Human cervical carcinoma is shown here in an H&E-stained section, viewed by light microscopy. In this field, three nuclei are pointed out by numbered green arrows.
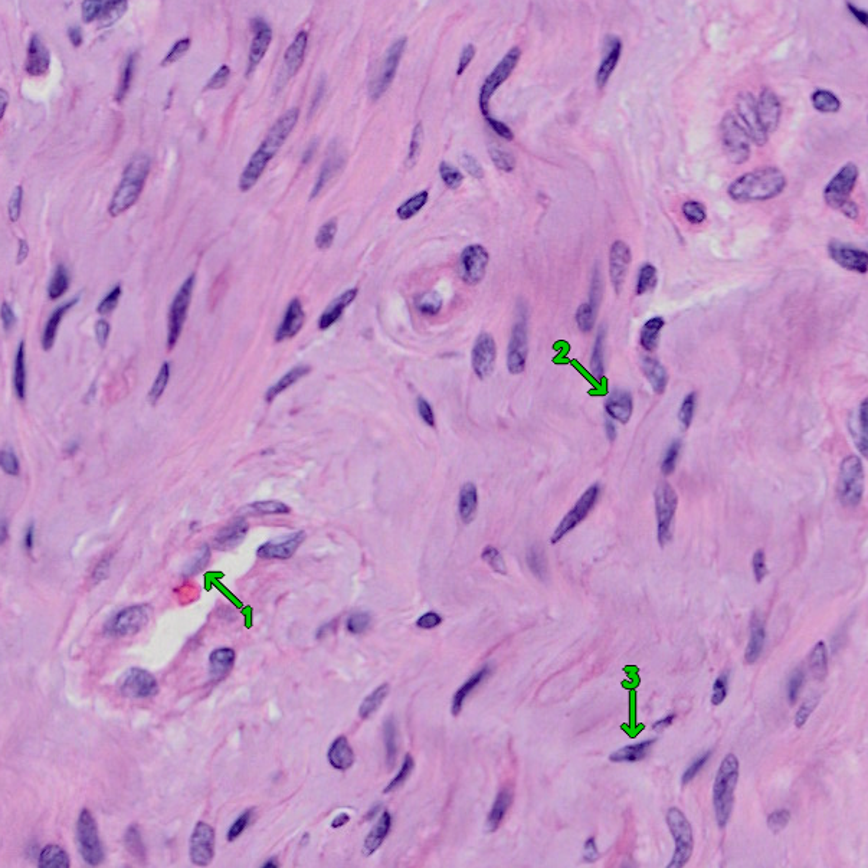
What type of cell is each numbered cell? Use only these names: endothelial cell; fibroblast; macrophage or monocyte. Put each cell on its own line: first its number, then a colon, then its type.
1: endothelial cell
2: fibroblast
3: fibroblast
